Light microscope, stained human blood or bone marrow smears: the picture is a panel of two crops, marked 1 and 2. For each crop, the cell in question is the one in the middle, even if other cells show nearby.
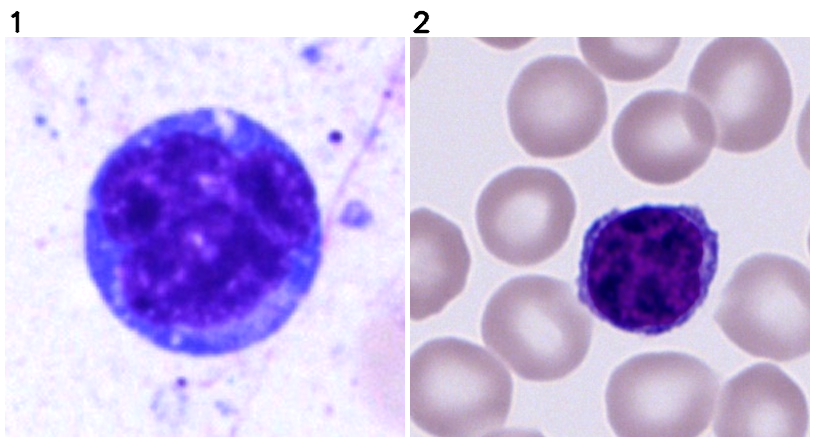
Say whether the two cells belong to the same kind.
no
